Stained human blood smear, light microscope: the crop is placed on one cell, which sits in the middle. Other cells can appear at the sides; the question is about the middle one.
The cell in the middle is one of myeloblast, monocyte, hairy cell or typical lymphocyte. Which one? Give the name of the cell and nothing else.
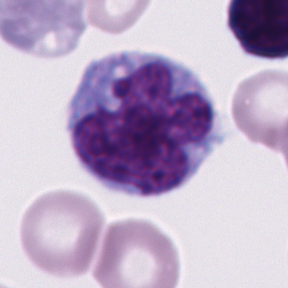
monocyte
